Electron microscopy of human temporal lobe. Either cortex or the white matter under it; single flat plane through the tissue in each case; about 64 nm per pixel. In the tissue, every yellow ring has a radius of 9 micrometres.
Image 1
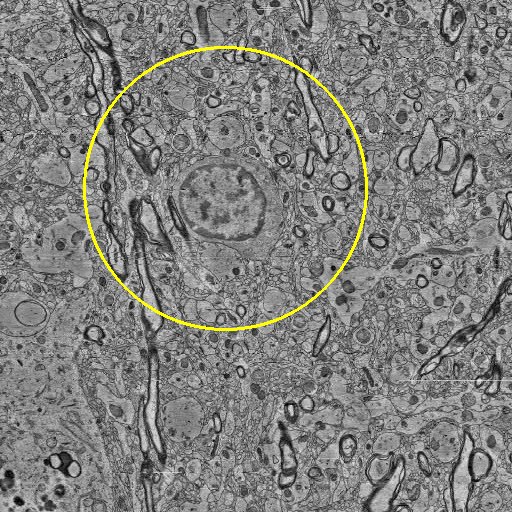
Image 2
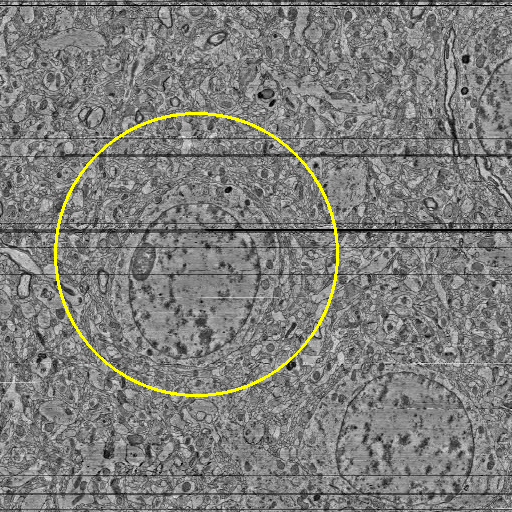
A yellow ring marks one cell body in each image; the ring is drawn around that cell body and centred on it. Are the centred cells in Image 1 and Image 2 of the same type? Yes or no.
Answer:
no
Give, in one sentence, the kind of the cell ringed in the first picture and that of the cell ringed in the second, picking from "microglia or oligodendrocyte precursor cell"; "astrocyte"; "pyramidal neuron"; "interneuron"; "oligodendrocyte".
For the first picture it is an oligodendrocyte; for the second, a pyramidal neuron.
